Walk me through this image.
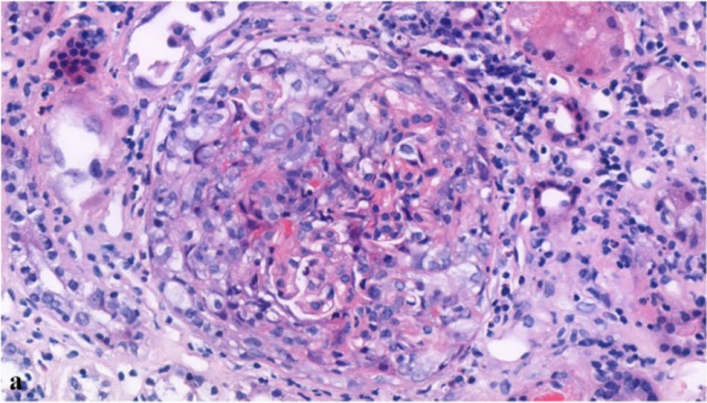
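This is a glomerulus whose Bowman's space is filled by a cellular crescent: layers of plump cells with pale pink cytoplasm and oval nuclei encircle and compress the central capillary tuft. Around the glomerulus the interstitium is crowded with small dark round nuclei of inflammatory cells, and cut tubules with pink cytoplasm lie at the edges.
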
